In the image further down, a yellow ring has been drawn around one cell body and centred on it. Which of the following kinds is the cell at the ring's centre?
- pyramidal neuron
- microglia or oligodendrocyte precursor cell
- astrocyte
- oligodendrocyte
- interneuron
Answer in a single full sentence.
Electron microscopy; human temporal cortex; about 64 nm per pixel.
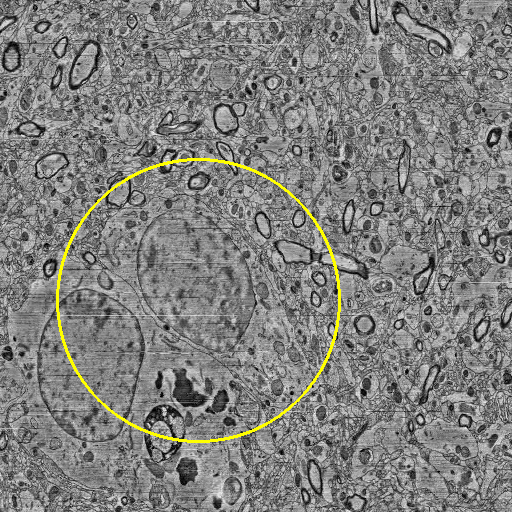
In the picture, the cell sitting at the centre of the yellow ring is an interneuron.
